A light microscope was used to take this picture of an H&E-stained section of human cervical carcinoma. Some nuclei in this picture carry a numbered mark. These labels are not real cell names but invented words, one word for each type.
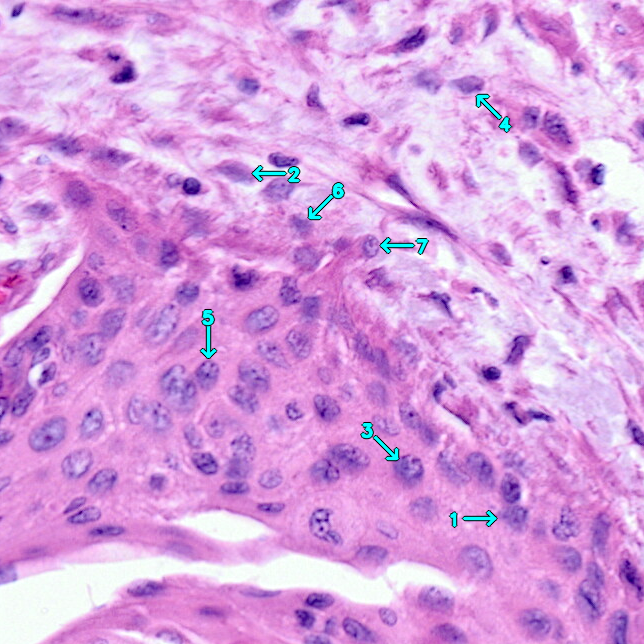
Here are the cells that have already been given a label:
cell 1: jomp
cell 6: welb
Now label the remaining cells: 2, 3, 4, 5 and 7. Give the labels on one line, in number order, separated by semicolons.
welb; jomp; welb; jomp; welb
